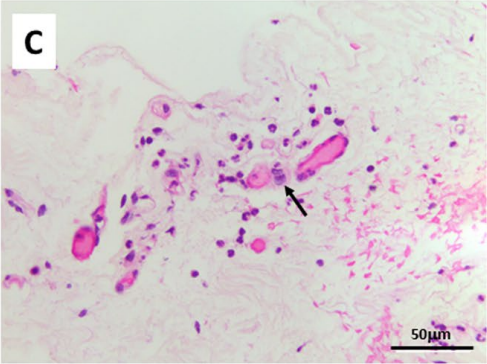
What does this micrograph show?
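Loose, pale pink connective tissue contains scattered small cells with dark purple, rounded nuclei, and several small vessel profiles whose walls stain bright pink. The cells gather mostly around these small vessels rather than spreading evenly through the tissue.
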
